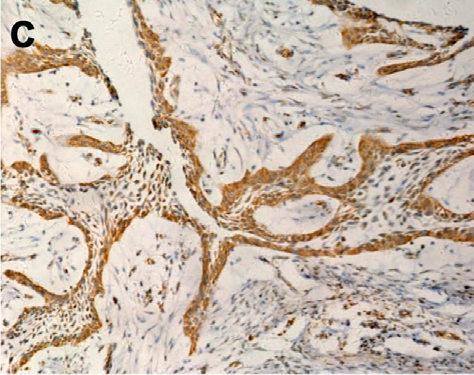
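Plexiform ameloblastoma is seen as long, narrow strands of epithelium that branch and anastomose into a network. Between the strands lies a loose connective tissue stroma with scattered spindle-shaped cells and blue nuclei. Some open spaces lie among the strands and stroma.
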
